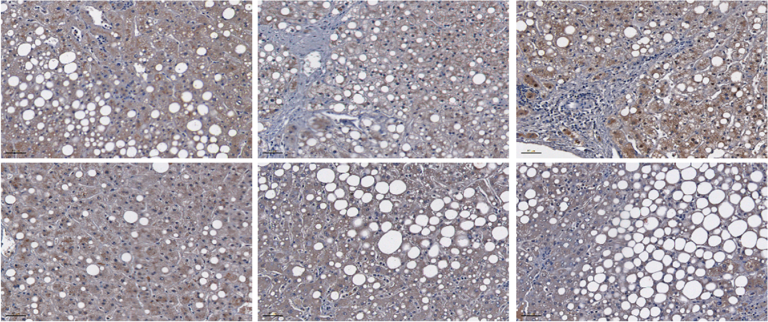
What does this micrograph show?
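These are liver sections in which many hepatocytes contain large, empty, round clear vacuoles of varying size. These vacuoles often fill the cell and push its nucleus to one side, a pattern typical of fat droplets. Between the vacuoles, hepatocyte cytoplasm takes up the brown stain, but the staining is paler and patchier than in compact parenchyma. In several fields, bands of bluish fibrous tissue run through the parenchyma and carry clusters of small, dark blue nuclei, consistent with inflammatory cells. The normal regular plate arrangement of the hepatocytes is disrupted by the vacuoles.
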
